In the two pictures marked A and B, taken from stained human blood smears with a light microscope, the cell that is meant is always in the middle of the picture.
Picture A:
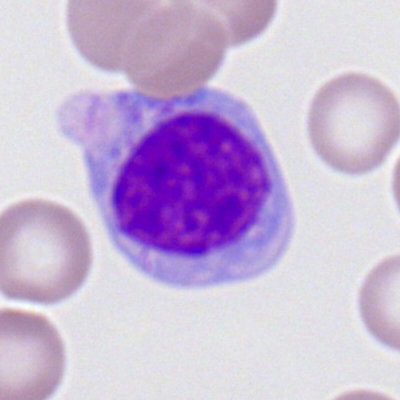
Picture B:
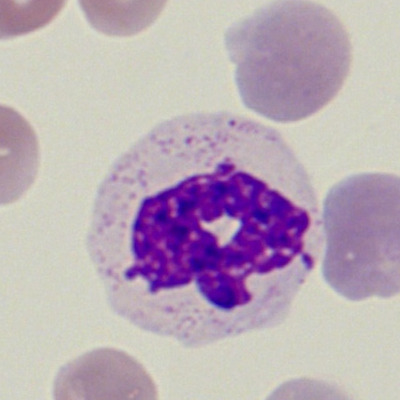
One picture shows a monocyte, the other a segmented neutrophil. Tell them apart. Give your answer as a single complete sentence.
Picture A is of a monocyte, and picture B is of a segmented neutrophil.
